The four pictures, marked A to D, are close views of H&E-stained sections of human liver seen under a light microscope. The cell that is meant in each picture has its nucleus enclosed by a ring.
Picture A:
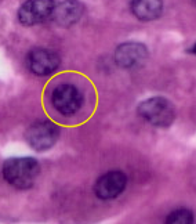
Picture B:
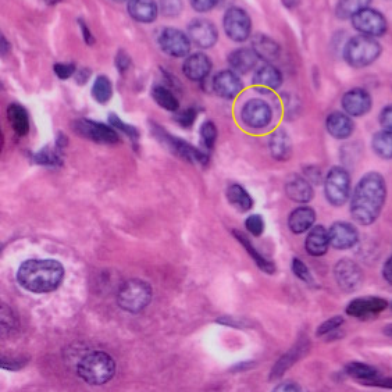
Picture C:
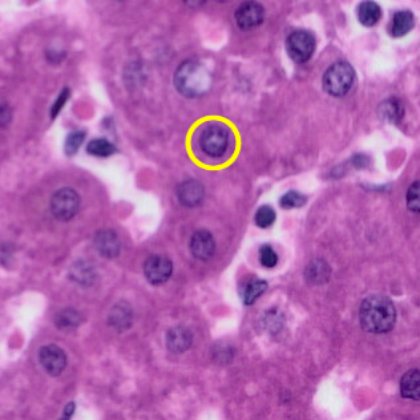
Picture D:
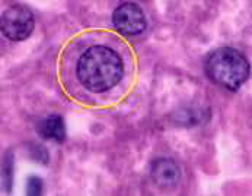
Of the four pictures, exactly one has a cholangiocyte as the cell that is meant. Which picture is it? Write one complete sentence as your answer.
The cell in picture B is the cholangiocyte.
